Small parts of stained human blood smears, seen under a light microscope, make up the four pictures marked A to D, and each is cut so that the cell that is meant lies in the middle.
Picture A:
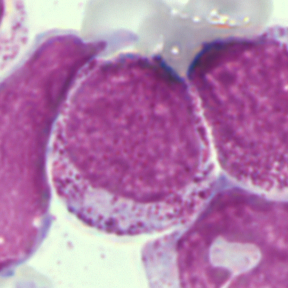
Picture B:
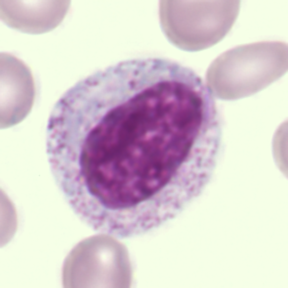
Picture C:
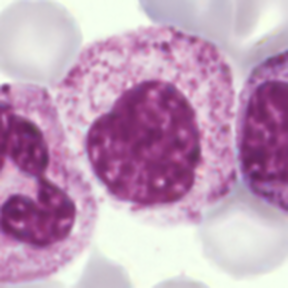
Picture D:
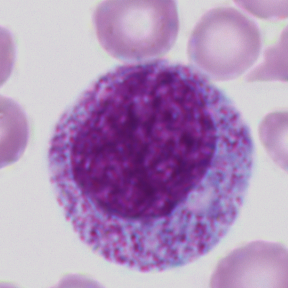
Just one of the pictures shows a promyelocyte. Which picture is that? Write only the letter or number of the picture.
D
